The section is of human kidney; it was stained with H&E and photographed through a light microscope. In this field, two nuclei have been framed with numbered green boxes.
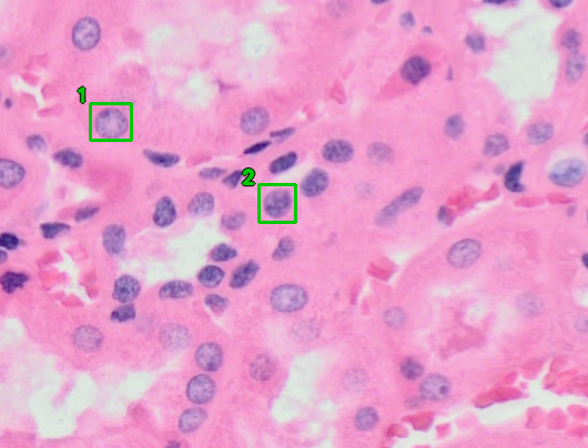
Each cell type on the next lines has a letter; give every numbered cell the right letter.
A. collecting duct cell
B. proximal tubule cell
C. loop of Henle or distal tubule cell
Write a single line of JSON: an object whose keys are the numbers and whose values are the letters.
{"1": "B", "2": "C"}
